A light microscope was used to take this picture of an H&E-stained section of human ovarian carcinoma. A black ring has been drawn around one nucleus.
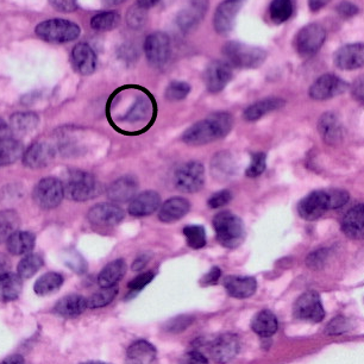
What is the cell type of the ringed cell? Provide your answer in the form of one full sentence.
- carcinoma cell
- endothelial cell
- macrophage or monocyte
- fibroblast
For cell typing purposes, the ringed cell is an endothelial cell.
